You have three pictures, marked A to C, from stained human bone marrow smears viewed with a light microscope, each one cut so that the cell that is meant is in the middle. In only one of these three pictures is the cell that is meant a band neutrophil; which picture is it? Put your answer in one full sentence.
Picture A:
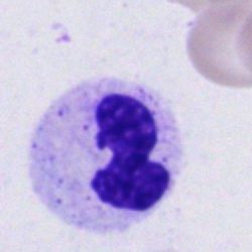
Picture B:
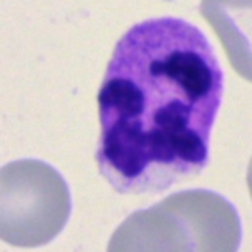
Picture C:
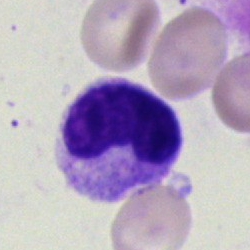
It is picture C that shows the band neutrophil.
